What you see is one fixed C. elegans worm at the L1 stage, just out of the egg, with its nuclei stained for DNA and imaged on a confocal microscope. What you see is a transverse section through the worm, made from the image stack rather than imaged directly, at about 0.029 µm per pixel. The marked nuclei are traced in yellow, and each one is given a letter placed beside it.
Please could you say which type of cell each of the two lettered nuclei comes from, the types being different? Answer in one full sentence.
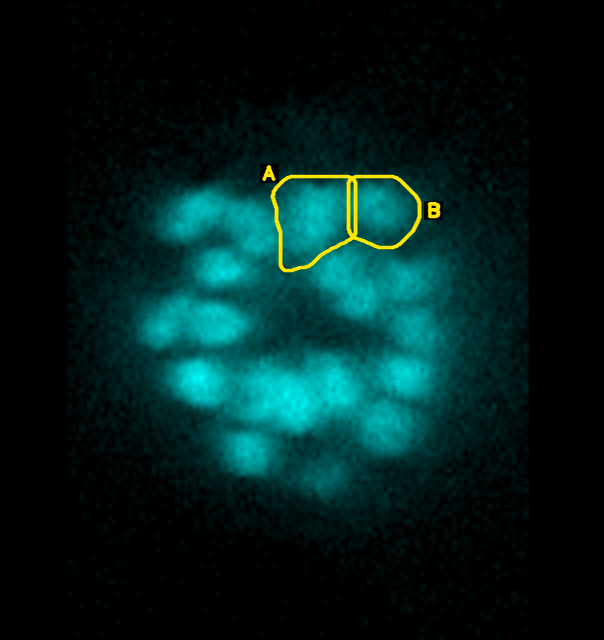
A is from a pharyngeal muscle cell, and B is from a body wall muscle cell.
